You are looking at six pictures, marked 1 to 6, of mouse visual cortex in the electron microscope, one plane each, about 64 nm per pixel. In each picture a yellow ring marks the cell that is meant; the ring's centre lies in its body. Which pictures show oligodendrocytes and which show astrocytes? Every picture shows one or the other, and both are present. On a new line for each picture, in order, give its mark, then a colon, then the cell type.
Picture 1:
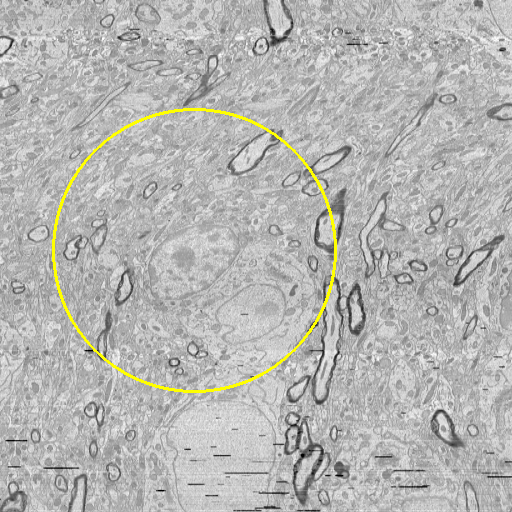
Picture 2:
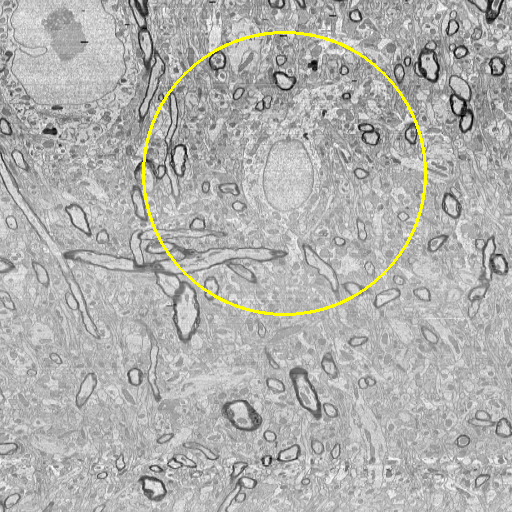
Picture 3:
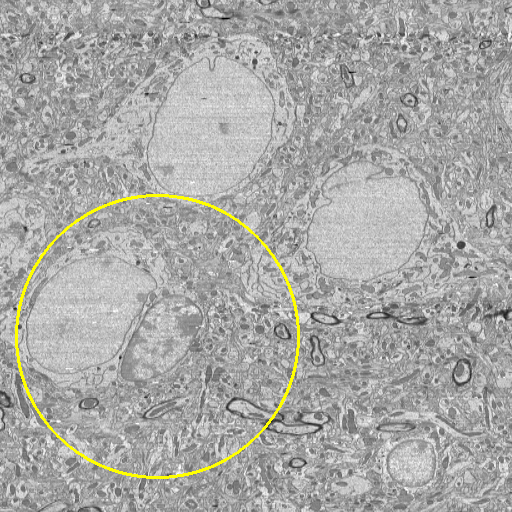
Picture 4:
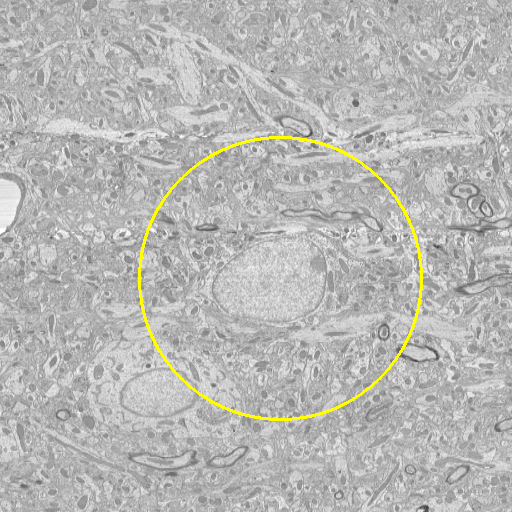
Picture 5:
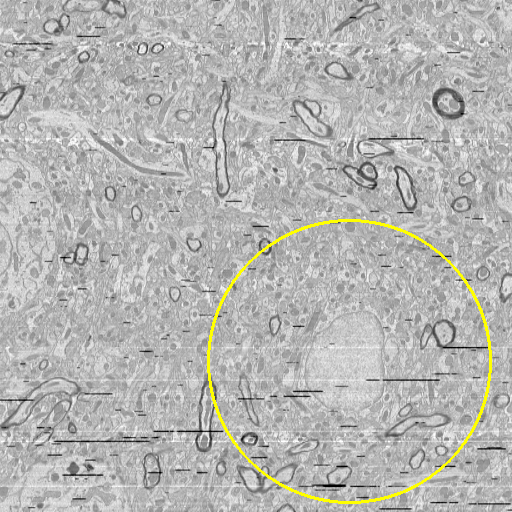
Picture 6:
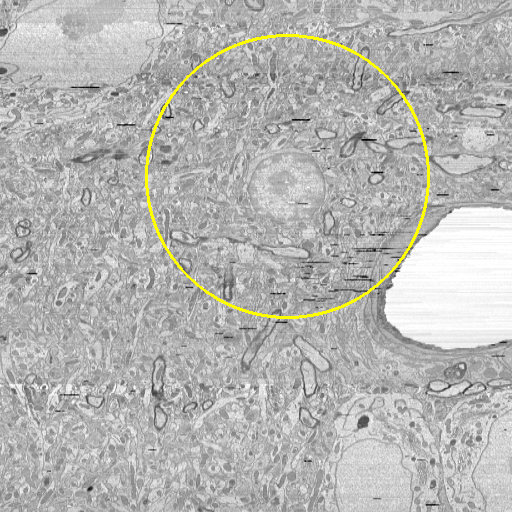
1: oligodendrocyte
2: astrocyte
3: oligodendrocyte
4: astrocyte
5: astrocyte
6: oligodendrocyte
